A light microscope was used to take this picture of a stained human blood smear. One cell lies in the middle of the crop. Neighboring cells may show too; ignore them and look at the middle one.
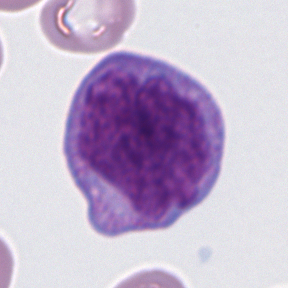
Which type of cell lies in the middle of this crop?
atypical promyelocyte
